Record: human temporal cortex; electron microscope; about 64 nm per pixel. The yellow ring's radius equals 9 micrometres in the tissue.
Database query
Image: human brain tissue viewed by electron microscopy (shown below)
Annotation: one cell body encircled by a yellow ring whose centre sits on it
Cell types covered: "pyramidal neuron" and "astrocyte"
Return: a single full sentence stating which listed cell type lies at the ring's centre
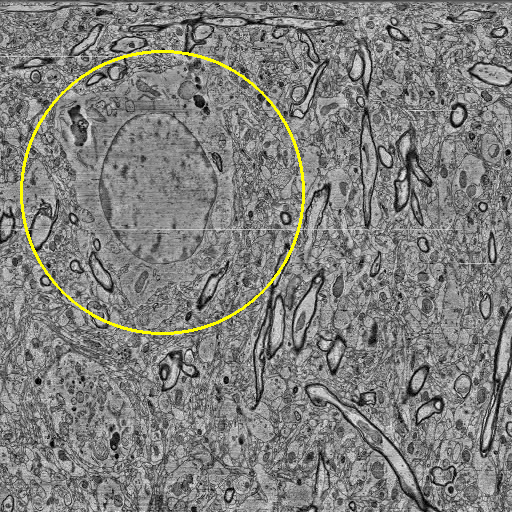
In the image, the cell lying at the ring's centre is an astrocyte.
